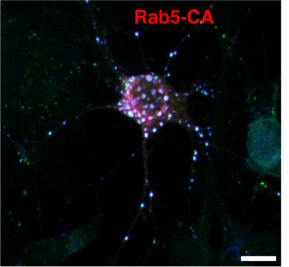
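This is a cultured neuron whose cell body is filled with enlarged endosomes, seen as many round, bright vesicles. Where red, green and blue overlap the vesicles look whitish-pink, so the three labels sit together in the same compartments. Several thin processes radiate from the cell body and carry smaller bright puncta along their length. A neighbouring cell to the right shows only faint, diffuse green-blue and lacks these large vesicles.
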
